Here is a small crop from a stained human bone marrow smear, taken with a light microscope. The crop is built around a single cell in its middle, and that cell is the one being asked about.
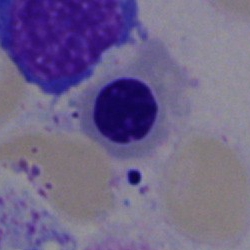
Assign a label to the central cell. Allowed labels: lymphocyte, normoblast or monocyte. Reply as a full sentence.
Answering briefly, the cell in the middle is a normoblast.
